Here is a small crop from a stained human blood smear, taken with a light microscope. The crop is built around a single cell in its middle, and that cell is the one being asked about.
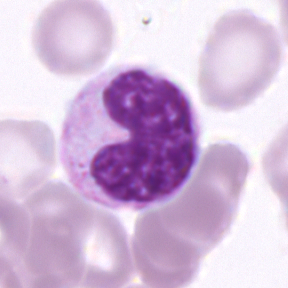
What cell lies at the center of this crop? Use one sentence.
Classification of the middle cell gives a metamyelocyte.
